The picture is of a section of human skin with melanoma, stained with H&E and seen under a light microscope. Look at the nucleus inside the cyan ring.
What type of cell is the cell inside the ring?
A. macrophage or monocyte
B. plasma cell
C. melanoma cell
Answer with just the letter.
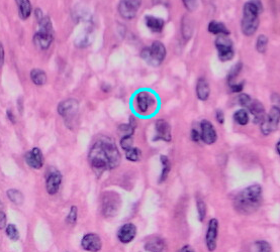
A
